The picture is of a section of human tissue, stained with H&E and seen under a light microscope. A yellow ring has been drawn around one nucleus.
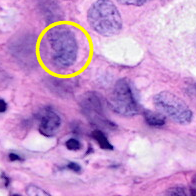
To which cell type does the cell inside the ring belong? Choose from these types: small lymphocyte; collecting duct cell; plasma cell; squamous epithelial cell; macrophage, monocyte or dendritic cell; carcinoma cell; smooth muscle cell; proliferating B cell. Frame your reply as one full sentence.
Microscopically, the cell inside the ring is categorized as a carcinoma cell.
